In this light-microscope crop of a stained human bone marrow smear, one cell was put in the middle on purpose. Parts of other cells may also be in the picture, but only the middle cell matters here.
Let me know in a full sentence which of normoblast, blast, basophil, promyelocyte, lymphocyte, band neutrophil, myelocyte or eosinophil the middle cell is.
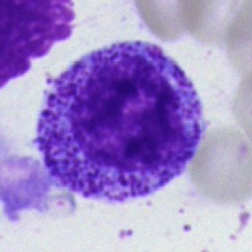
In the crop, the cell of interest at the centre is a myelocyte.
